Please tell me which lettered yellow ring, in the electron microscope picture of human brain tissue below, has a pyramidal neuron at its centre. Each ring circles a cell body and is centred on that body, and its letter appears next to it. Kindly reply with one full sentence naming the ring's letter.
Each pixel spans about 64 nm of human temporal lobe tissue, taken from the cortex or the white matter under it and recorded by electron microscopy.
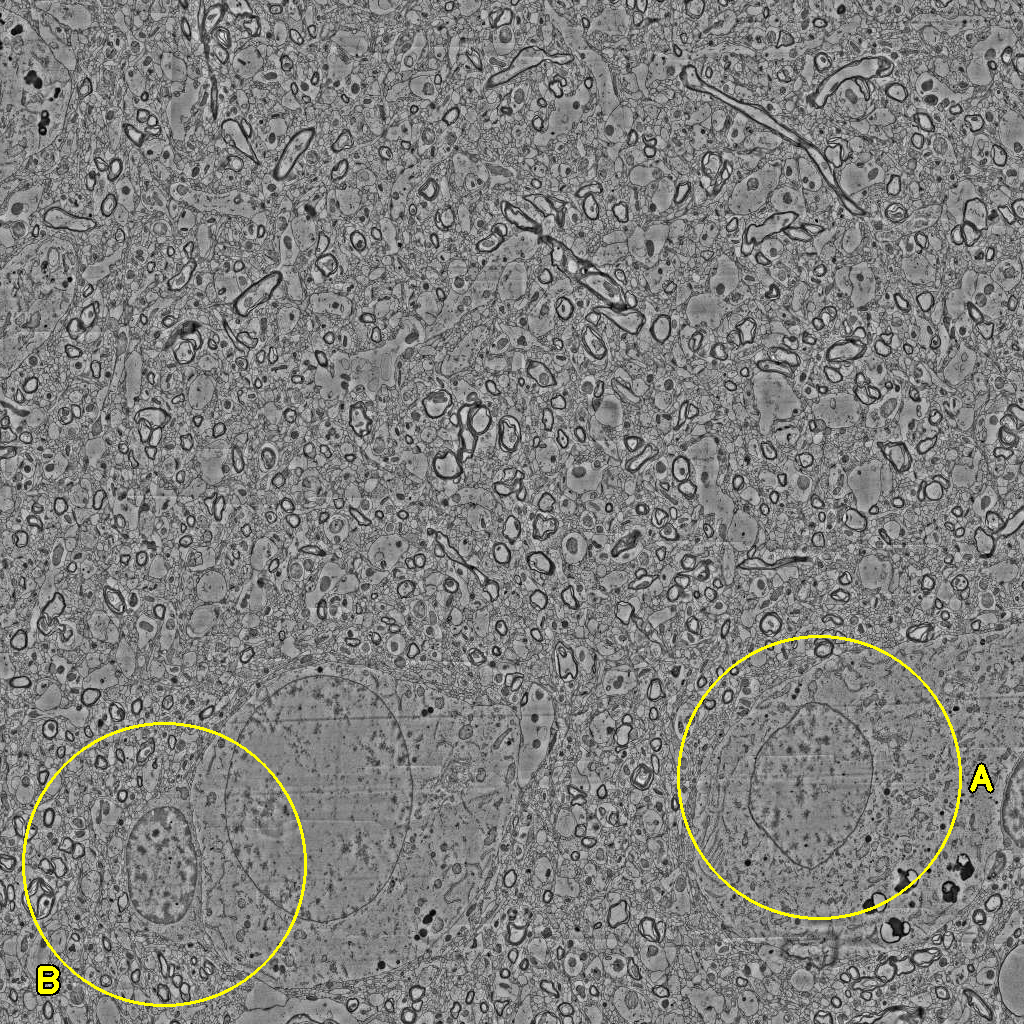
Ring A has the cell asked for at its centre.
